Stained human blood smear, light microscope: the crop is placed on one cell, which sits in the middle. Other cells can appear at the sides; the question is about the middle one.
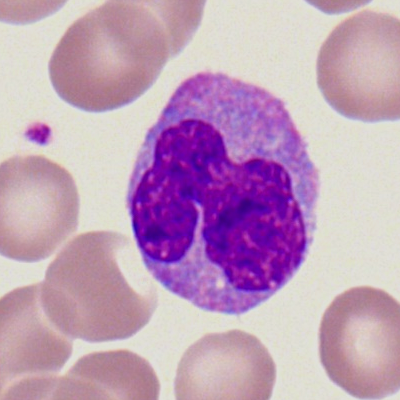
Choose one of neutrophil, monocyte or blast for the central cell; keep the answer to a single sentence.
In the crop, the cell of interest at the centre is a monocyte.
